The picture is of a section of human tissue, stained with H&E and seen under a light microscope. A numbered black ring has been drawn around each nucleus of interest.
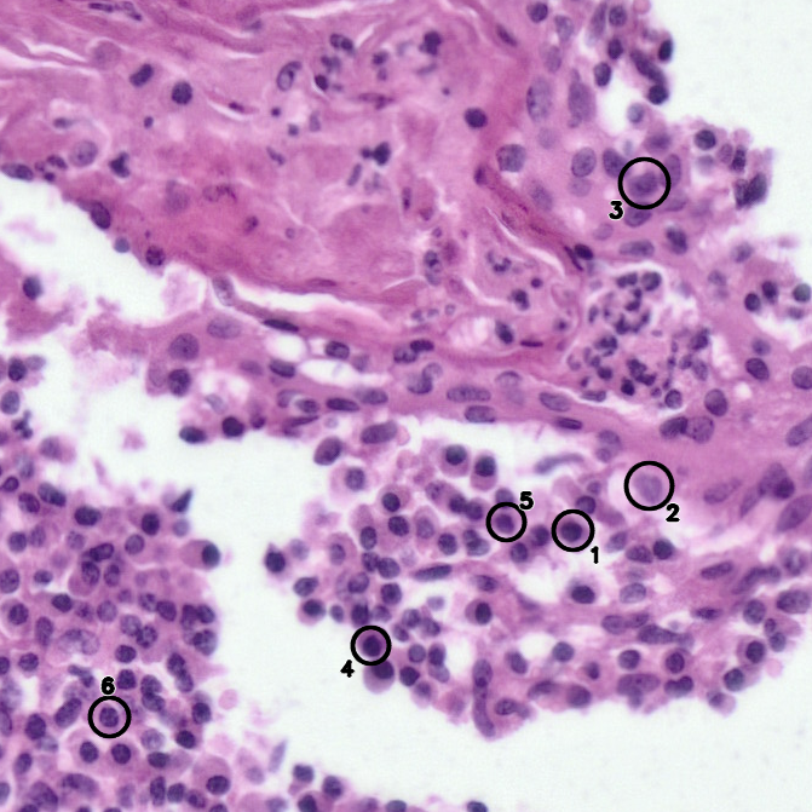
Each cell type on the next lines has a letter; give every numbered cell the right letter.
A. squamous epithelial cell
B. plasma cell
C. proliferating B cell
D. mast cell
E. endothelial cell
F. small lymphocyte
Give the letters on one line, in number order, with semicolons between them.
B; A; A; B; B; B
